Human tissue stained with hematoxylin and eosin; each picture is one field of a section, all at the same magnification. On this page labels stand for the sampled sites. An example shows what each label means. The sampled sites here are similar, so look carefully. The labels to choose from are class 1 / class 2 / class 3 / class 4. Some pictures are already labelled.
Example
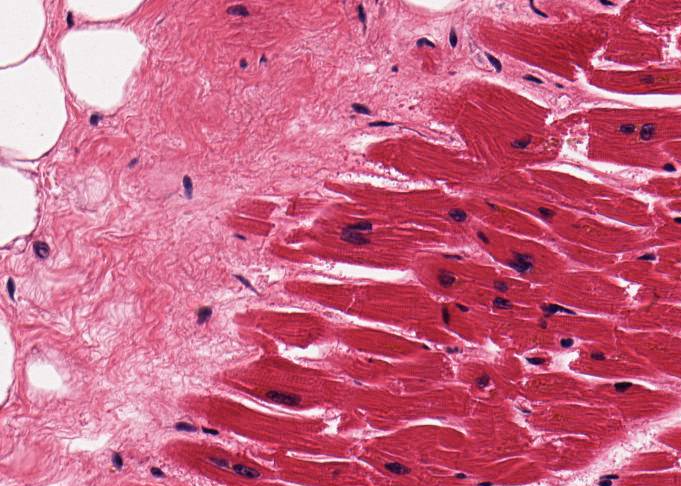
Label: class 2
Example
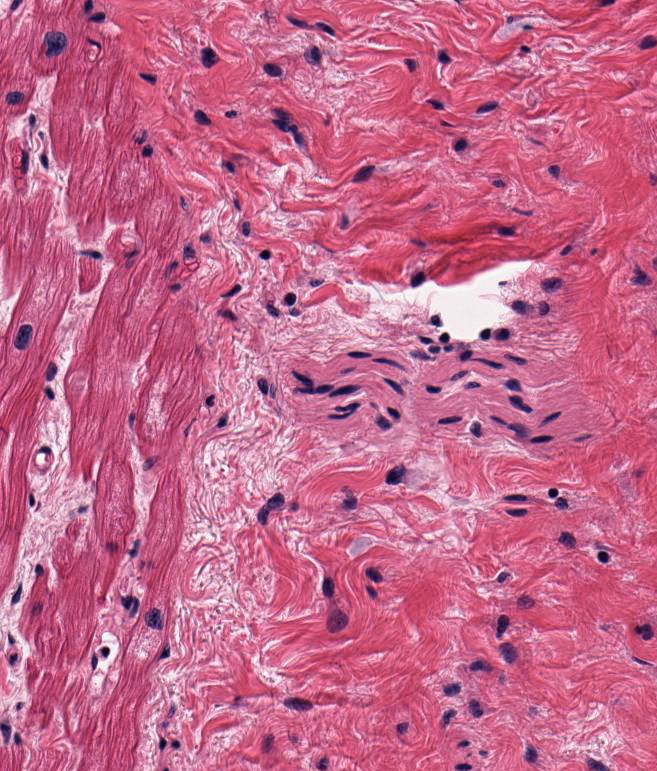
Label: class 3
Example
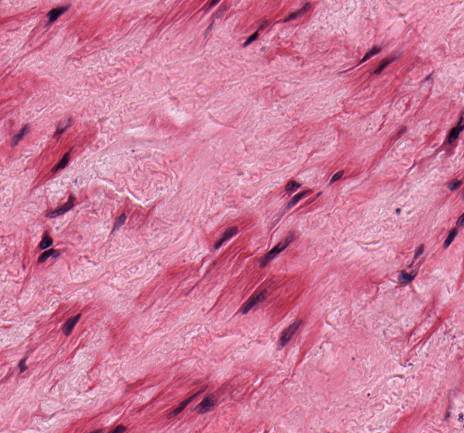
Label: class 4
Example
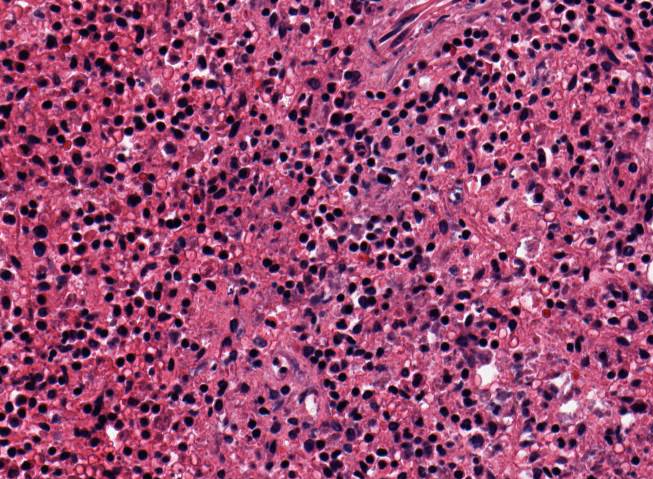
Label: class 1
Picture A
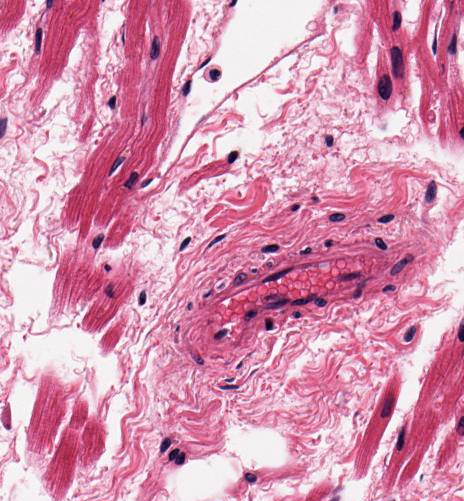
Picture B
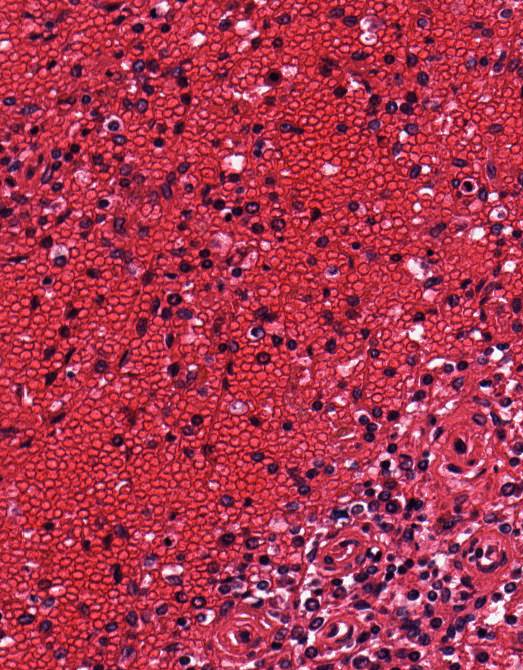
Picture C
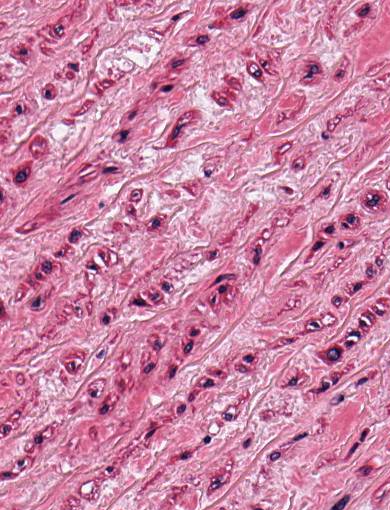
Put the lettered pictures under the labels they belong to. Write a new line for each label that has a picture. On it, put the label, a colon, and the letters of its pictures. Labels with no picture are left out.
class 1: B
class 3: A
class 4: C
